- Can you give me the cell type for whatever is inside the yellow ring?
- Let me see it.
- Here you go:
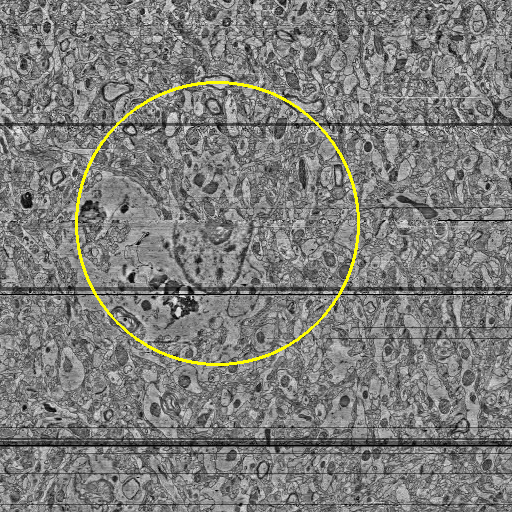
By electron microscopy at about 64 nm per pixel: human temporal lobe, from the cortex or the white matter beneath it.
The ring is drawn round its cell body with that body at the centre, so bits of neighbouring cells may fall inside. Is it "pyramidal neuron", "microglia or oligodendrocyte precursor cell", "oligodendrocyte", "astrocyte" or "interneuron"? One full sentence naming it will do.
The cell body in the middle of the ring in this picture belongs to an astrocyte.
